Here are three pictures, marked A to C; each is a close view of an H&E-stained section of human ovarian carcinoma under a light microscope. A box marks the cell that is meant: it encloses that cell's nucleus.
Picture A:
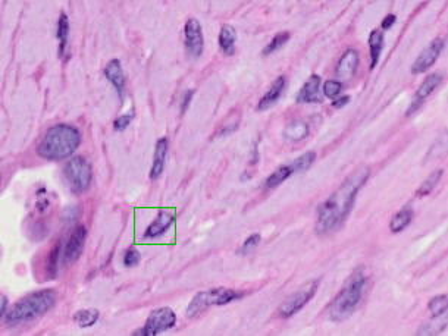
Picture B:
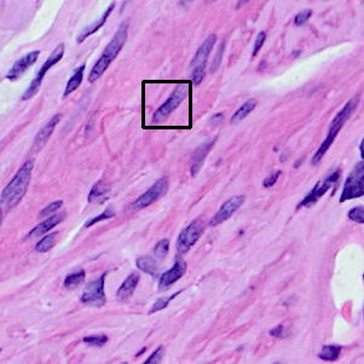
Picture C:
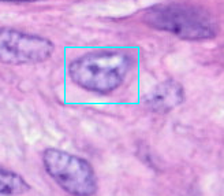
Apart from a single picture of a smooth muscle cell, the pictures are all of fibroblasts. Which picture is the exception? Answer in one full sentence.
The smooth muscle cell is the one in picture B.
